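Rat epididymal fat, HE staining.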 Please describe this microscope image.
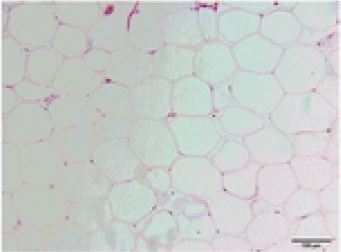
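Section of white adipose tissue made up of closely packed adipocytes. The cells are large and rounded to polygonal, fitting together like a honeycomb. Their interiors are clear and unstained, leaving only thin pink rims of cytoplasm and membrane. Small dark nuclei lie flattened at the edges of some cells and in the angles between them. Little stroma lies between the cells.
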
